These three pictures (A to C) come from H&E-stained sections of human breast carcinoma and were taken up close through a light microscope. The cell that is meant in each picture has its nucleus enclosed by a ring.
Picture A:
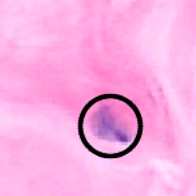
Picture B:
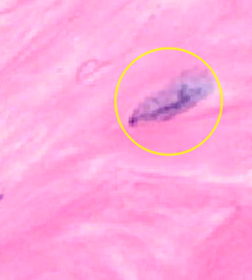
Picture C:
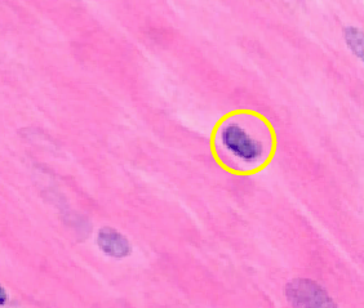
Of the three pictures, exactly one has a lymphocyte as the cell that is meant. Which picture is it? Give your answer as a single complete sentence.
Picture C shows the lymphocyte.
